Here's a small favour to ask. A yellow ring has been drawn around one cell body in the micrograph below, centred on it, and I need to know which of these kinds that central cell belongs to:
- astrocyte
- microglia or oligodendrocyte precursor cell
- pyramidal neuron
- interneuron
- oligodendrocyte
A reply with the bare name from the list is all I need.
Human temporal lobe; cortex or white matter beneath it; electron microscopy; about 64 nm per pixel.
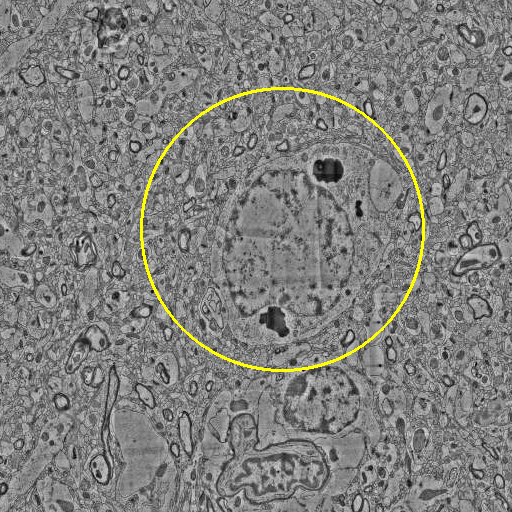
interneuron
